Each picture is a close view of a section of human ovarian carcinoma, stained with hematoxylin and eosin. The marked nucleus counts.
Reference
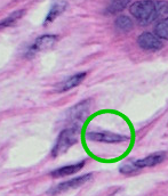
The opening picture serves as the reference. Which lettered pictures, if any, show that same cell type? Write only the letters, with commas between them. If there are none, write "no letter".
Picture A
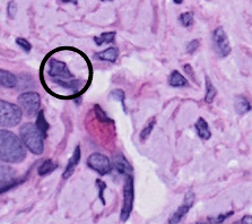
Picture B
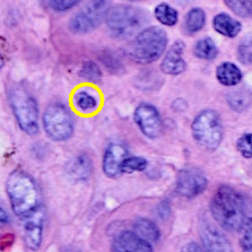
A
